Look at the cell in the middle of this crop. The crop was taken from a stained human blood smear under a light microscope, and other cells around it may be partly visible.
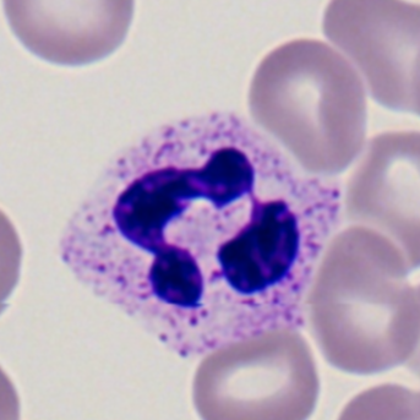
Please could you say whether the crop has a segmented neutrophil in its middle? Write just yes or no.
yes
